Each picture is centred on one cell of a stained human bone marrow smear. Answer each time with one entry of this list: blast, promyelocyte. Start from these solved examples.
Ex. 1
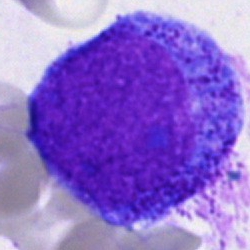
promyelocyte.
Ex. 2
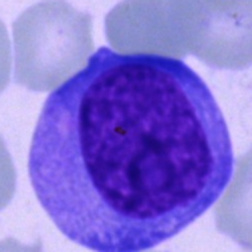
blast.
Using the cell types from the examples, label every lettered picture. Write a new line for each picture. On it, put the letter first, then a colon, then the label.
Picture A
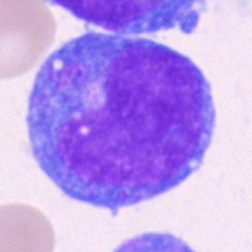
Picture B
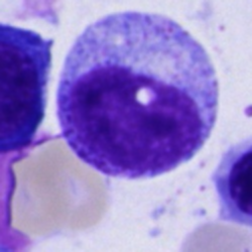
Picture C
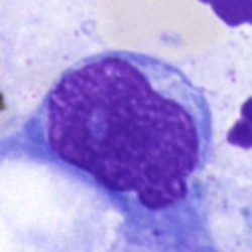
A: promyelocyte.
B: promyelocyte.
C: blast.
